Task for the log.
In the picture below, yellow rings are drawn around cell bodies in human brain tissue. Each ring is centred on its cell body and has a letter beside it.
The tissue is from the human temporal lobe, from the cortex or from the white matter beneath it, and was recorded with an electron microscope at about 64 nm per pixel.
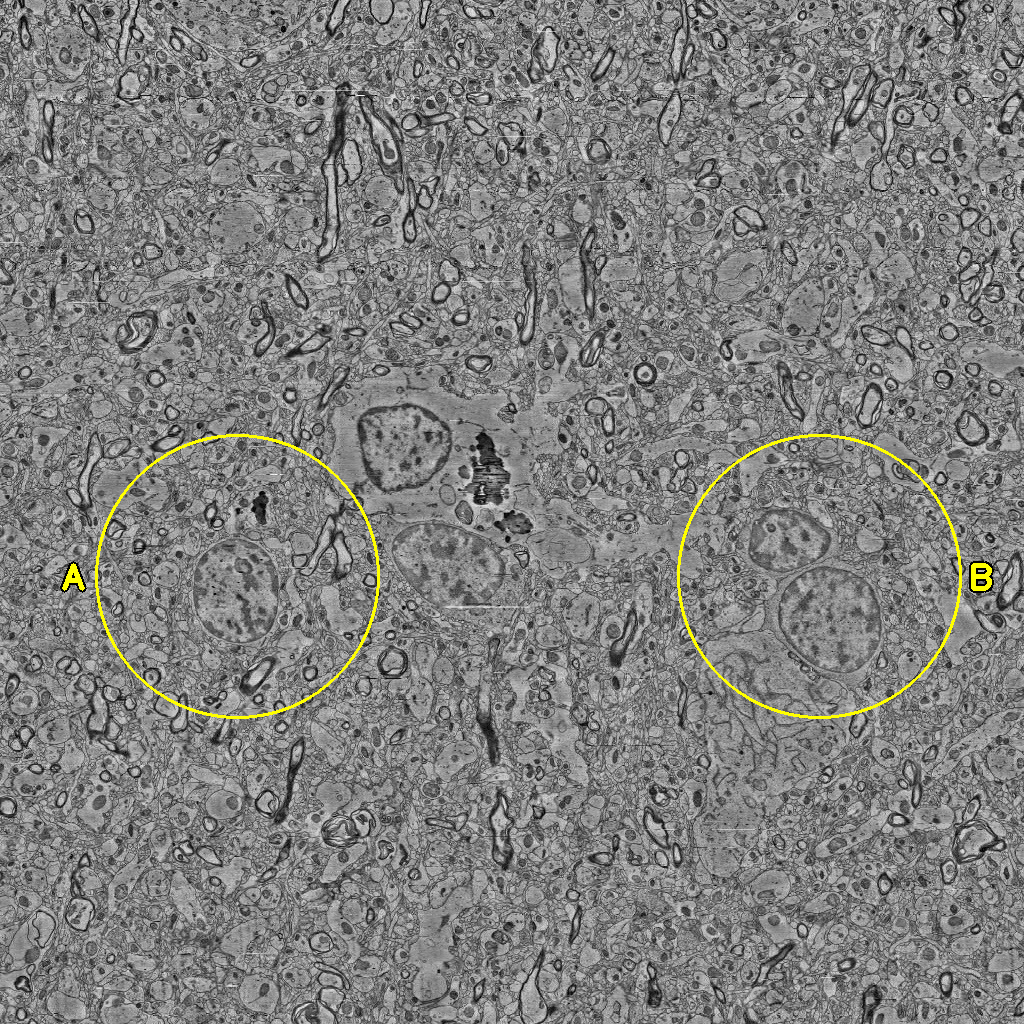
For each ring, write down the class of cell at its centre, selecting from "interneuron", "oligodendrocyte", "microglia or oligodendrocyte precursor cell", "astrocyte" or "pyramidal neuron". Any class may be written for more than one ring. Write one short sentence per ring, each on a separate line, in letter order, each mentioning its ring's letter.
The cell inside ring A, at its centre, is a microglial cell or oligodendrocyte precursor cell.
The cell inside ring B, at its centre, is an oligodendrocyte.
